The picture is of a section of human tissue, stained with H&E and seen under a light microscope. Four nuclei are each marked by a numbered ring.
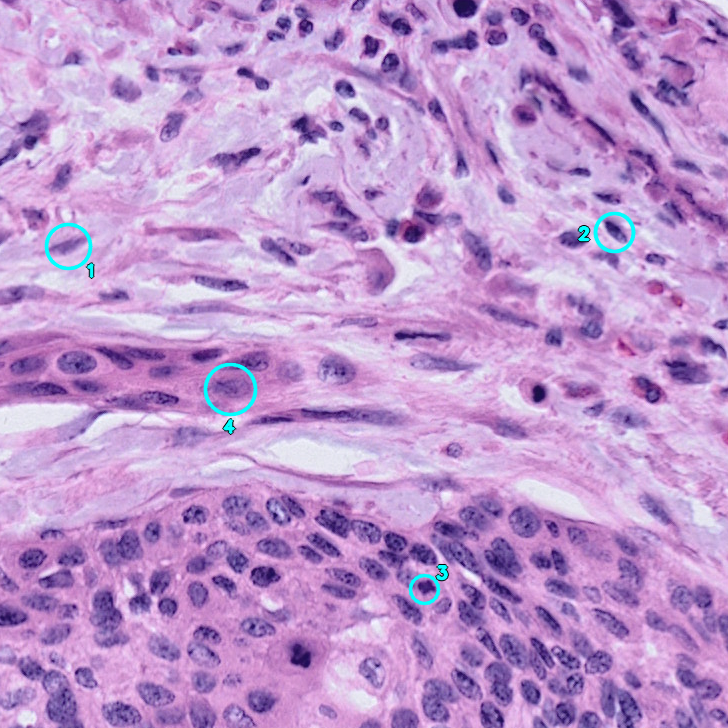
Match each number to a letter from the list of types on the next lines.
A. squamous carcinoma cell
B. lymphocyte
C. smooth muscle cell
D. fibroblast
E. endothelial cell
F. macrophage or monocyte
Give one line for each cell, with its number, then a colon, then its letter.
1: D
2: B
3: A
4: A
